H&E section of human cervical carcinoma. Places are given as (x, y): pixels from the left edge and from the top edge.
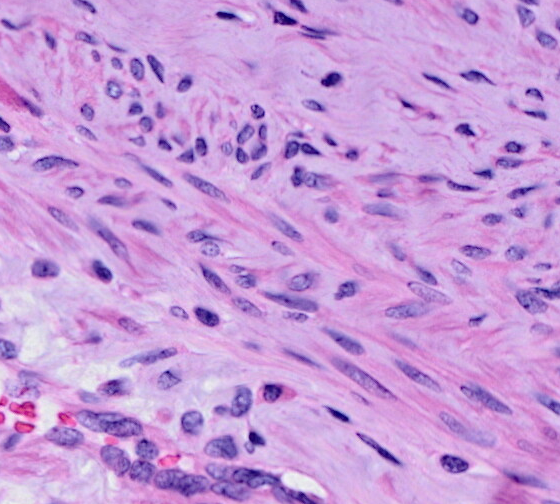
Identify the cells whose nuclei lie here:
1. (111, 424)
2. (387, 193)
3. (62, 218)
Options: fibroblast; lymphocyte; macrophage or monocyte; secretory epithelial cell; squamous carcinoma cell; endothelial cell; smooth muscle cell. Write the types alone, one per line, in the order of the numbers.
endothelial cell
smooth muscle cell
smooth muscle cell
